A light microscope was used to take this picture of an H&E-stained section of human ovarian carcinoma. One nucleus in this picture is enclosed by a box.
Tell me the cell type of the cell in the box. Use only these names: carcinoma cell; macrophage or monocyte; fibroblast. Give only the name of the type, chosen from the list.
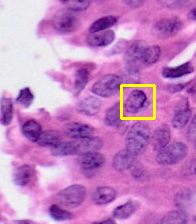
macrophage or monocyte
